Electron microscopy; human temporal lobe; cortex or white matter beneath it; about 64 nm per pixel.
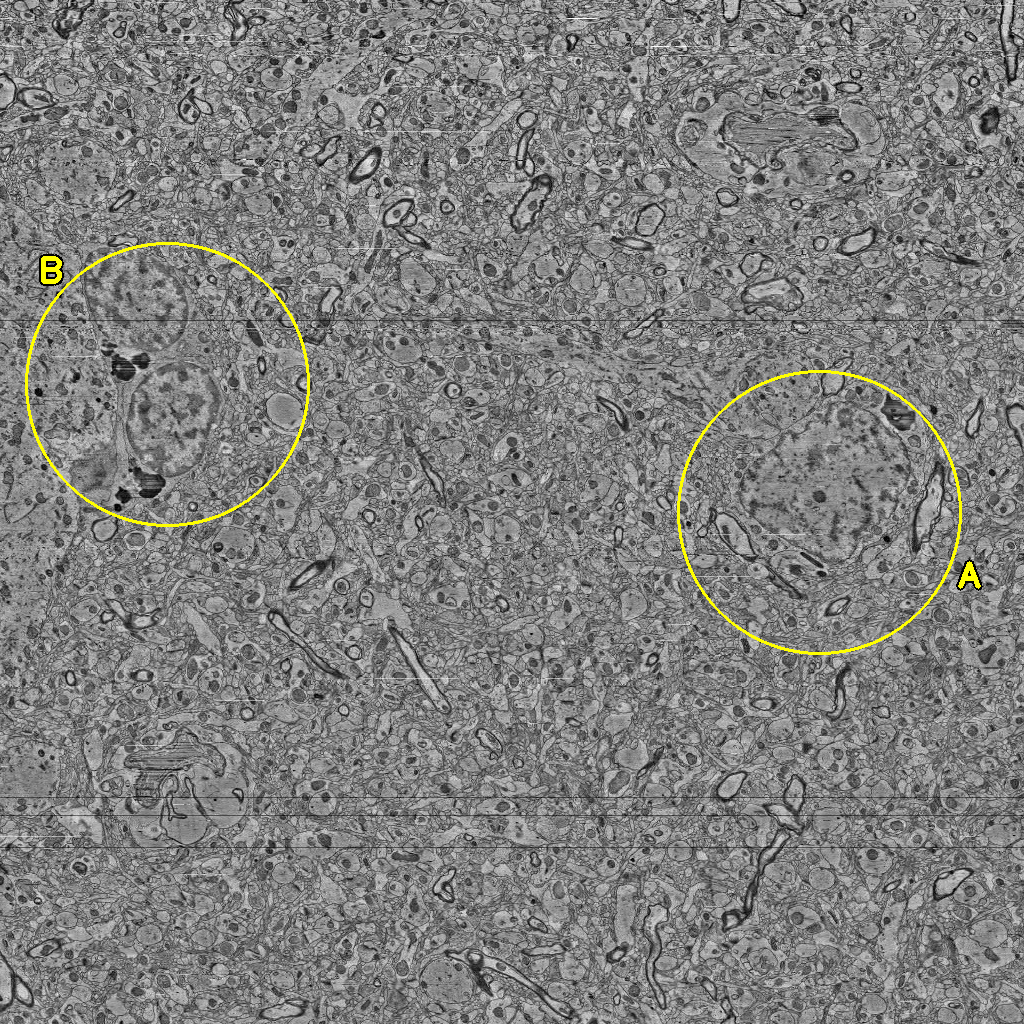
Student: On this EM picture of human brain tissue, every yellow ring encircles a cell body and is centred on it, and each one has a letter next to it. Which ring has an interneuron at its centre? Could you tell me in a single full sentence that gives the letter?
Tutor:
Ring A is the one drawn around the cell you are asking about.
